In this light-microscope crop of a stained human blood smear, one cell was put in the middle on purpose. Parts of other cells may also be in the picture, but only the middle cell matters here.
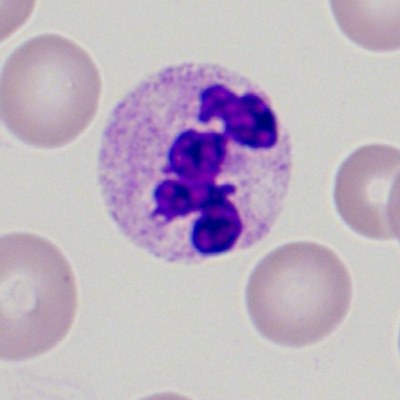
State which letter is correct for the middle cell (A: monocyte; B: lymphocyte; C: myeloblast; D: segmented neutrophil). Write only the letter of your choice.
D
